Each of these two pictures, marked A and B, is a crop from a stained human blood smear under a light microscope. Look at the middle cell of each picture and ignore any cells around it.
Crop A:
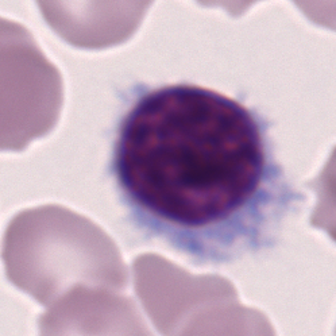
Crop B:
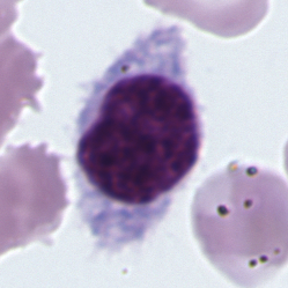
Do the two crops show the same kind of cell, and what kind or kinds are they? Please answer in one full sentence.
Yes, the cells found in the middle of both crops are hairy cells.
